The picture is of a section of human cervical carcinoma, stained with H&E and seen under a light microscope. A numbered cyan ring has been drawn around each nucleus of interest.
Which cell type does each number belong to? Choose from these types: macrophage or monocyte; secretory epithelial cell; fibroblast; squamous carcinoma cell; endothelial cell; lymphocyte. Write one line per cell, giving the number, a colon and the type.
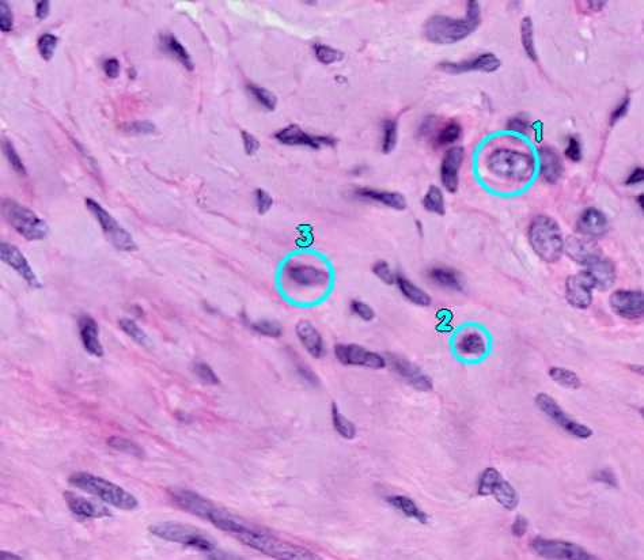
1: endothelial cell
2: fibroblast
3: fibroblast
